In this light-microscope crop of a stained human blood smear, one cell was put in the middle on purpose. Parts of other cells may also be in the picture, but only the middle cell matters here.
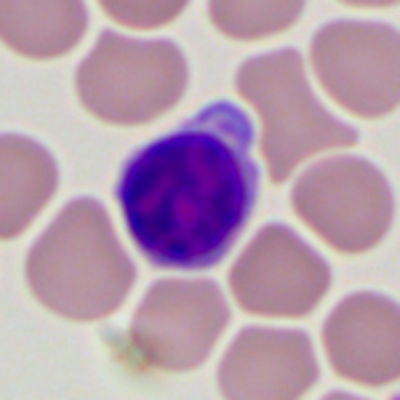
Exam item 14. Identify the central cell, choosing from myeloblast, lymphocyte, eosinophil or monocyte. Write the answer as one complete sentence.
The crop centres on a single cell, and that cell is a lymphocyte.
